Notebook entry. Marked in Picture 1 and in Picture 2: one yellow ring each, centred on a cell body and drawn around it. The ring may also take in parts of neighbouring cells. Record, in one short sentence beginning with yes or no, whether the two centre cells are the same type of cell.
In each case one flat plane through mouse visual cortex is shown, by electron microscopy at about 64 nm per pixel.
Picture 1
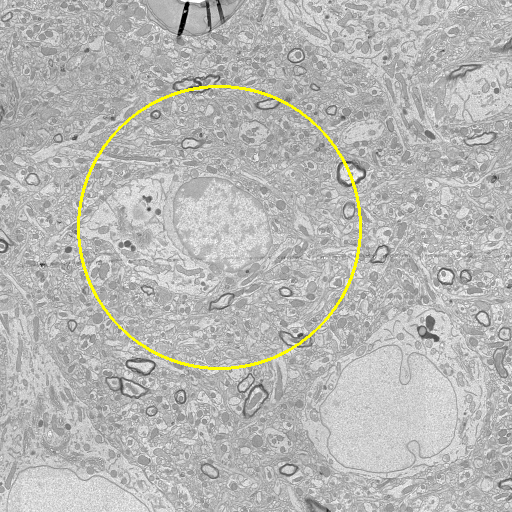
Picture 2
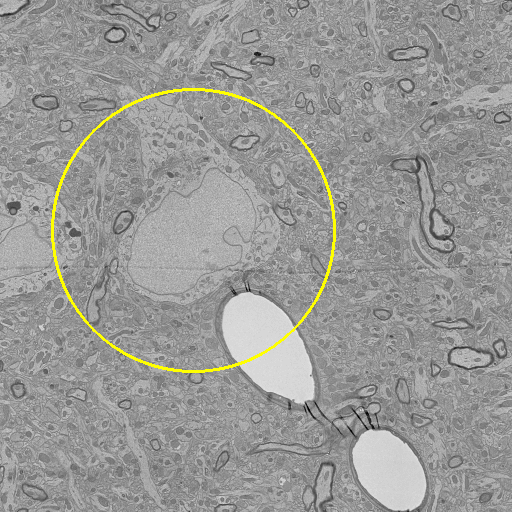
No, they are two types of cell.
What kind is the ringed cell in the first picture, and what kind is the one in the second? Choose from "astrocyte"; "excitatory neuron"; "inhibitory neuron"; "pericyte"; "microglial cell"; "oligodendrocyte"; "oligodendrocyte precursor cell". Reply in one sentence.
The first cell is an oligodendrocyte; the second is an excitatory neuron.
